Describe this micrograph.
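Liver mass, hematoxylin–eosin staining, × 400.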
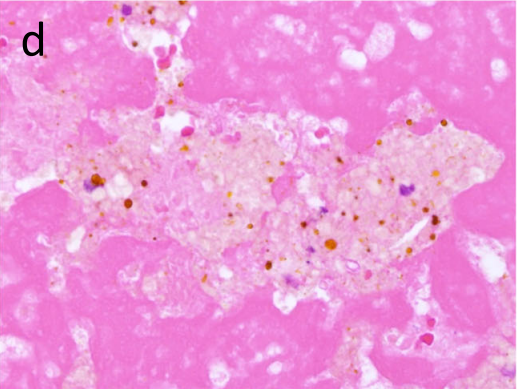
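Broad fields of pink, amorphous material without cell outlines fill most of the view. A paler, loosely textured area runs through it, containing scattered golden-brown to orange granules of pigment. Small purple fragments are all that remain of nuclei, and no intact, living cells can be made out.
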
